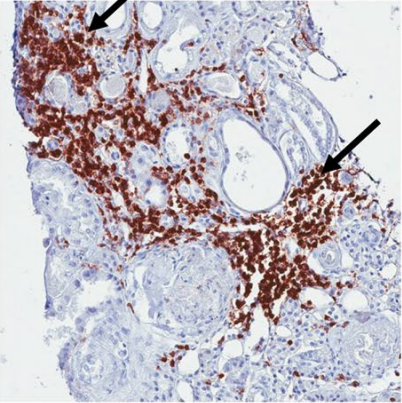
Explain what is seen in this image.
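Numerous small, round, brown-stained cells with scant cytoplasm form dense sheets and bands that run between tubules, most heavily in the upper left and across the middle of the field. Tubular epithelial cells have blue nuclei and pale cytoplasm; several tubules are dilated and some contain pale homogeneous material. Large rounded pale structures with a faint blue, fibrous-looking interior lie among the tubules. The infiltrating cells crowd against and between these structures, separating the tubules from one another.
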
